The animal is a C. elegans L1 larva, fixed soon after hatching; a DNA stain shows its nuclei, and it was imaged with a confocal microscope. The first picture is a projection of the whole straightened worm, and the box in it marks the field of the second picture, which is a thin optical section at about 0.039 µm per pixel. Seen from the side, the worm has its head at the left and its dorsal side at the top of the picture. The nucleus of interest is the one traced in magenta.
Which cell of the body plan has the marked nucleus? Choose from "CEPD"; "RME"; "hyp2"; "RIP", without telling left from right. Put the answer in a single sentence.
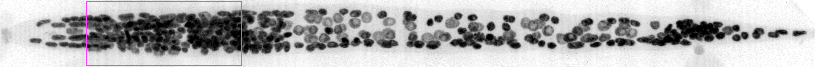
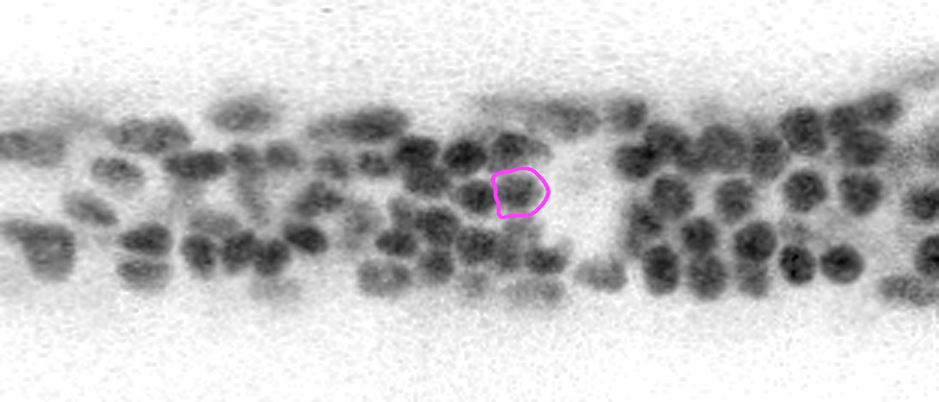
It belongs to RME, a neuron.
